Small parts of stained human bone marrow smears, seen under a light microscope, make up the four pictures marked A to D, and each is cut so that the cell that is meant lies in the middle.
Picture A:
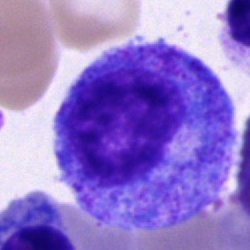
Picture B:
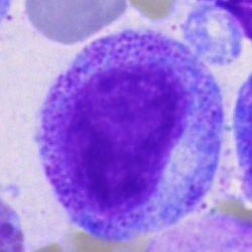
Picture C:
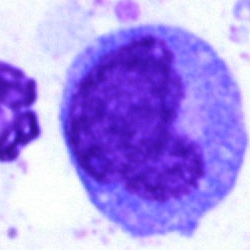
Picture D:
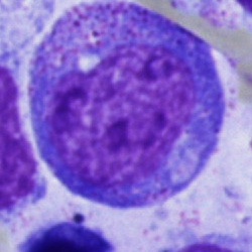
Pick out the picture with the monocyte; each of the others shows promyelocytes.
C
